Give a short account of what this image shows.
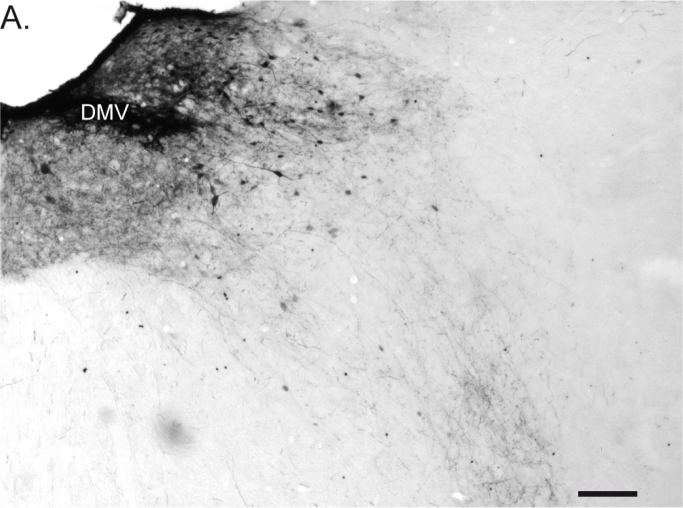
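This is a section of the brainstem around the dorsal motor nucleus of the vagus. Near the top left, at the edge of the section, lies a dense, almost black deposit where the stain is heaviest. Around it, a grey-stained field holds many nerve cell bodies. Some are darkly filled, small and rounded or spindle-shaped, with slender processes running away from them. Others stand out as pale, unstained profiles against the grey. Thin dark fibres fan out downward and to the right, crossing paler tissue. Toward the lower right they gather into a loose meshwork. The far right of the field is nearly unstained.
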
